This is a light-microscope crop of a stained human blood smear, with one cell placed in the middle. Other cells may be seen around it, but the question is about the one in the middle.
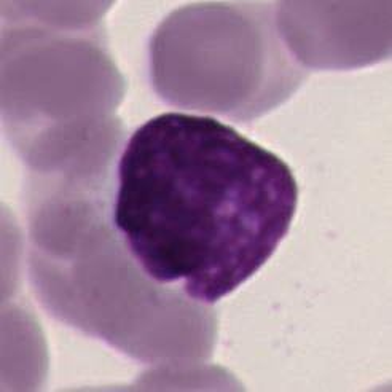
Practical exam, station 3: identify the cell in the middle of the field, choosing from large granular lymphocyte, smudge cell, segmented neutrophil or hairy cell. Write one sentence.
The crop's centre is taken up by a smudge cell.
